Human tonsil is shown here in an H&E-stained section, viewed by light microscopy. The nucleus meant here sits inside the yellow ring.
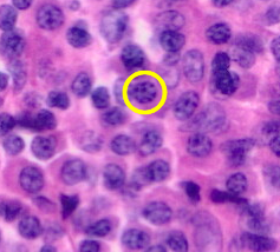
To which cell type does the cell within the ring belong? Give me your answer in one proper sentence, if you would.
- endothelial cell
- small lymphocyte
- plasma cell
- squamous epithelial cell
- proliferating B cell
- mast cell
In cellular terms, the cell within the ring is a plasma cell.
